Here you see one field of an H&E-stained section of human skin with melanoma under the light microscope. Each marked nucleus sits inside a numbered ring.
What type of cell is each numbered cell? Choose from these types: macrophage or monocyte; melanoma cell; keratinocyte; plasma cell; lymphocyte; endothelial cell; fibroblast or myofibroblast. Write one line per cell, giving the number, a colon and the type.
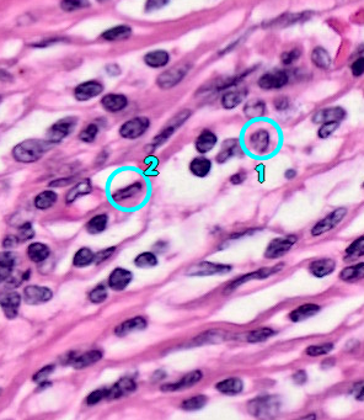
1: lymphocyte
2: endothelial cell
